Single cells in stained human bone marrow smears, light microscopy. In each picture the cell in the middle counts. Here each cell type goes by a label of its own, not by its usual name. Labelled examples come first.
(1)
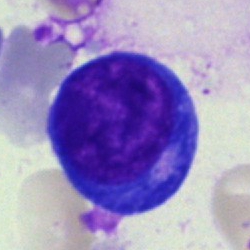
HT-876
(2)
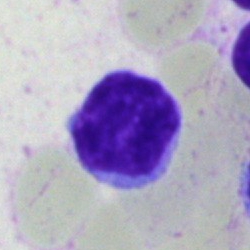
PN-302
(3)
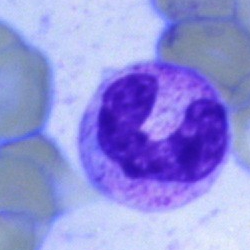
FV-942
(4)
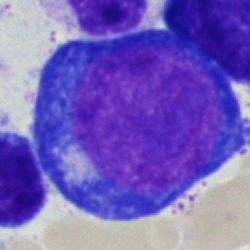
HT-876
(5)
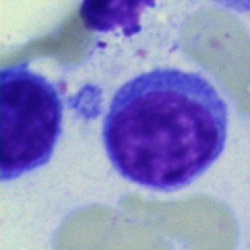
PN-302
